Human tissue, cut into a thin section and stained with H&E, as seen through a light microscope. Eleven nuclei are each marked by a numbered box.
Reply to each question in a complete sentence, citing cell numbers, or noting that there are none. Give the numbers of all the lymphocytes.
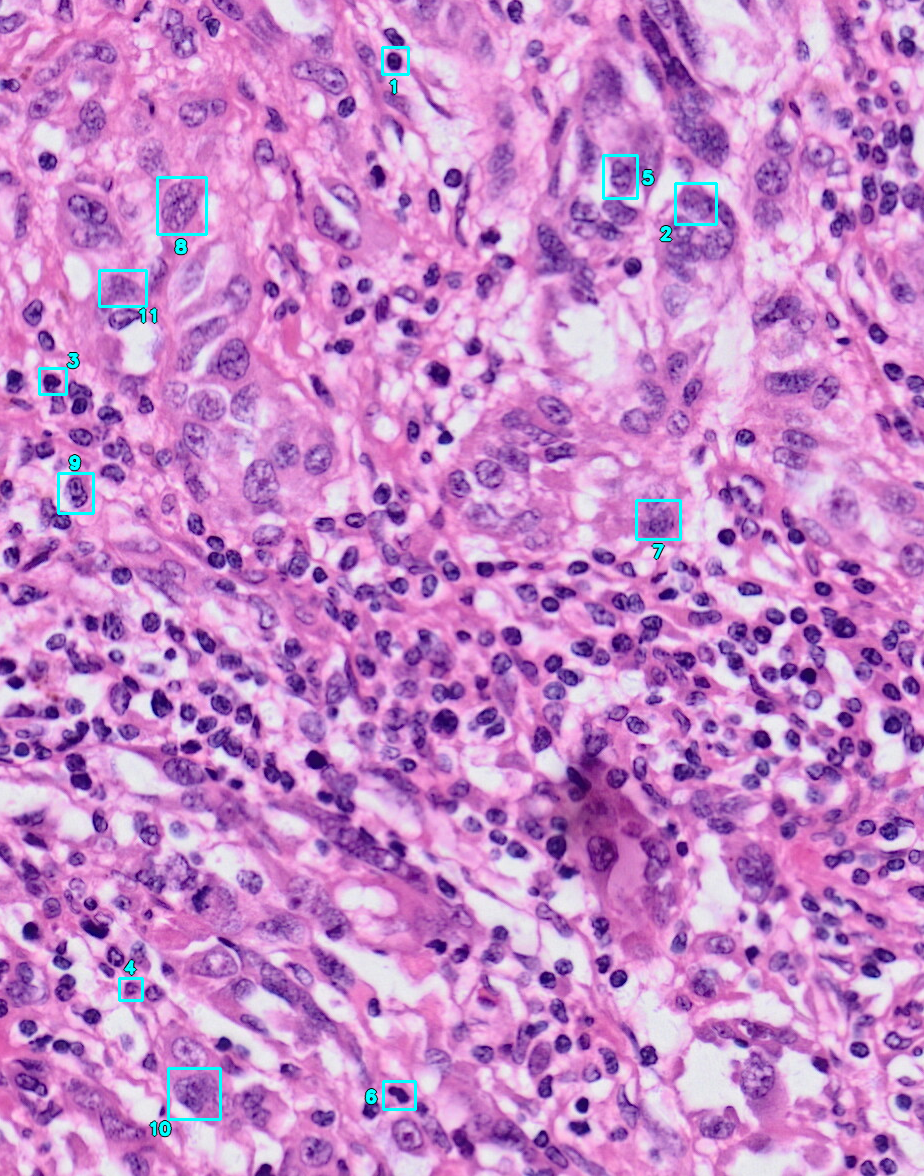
Marked by the numbers 1, 3 and 6 are cells that are lymphocytes.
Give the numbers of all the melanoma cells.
The cells referred to by the numbers 2, 5, 7, 8, 10 and 11 are melanoma cells.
